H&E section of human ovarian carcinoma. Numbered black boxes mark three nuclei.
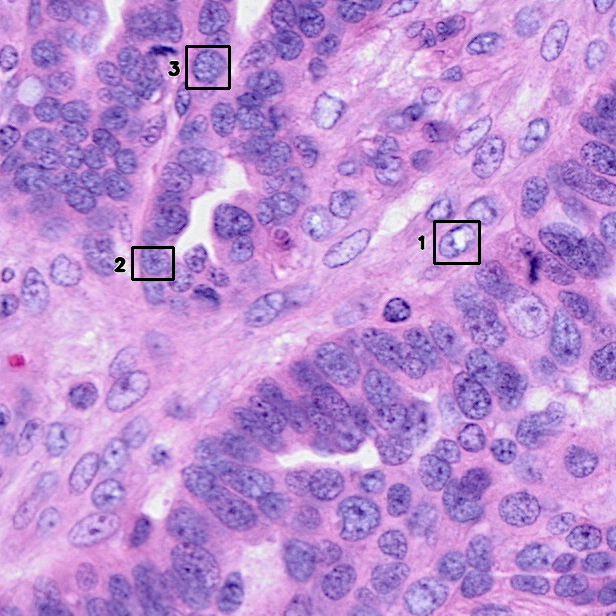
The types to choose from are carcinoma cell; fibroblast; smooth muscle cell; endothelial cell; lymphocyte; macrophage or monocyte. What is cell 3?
carcinoma cell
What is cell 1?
fibroblast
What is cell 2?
carcinoma cell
